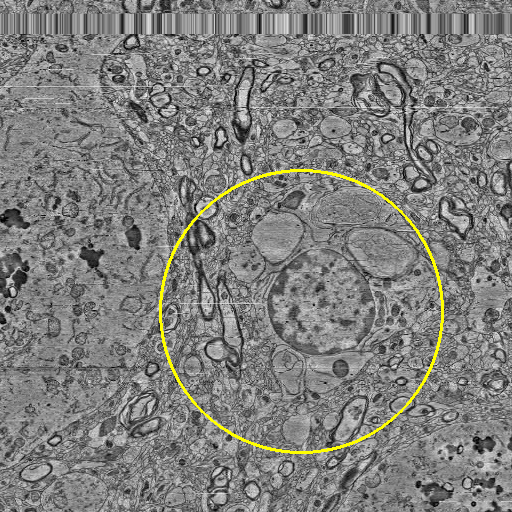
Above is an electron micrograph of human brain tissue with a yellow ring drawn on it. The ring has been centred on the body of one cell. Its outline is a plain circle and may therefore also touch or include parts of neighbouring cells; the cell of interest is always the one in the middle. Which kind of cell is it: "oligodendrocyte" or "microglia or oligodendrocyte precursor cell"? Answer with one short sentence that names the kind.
The ring's central cell body is that of a microglial cell or oligodendrocyte precursor cell.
